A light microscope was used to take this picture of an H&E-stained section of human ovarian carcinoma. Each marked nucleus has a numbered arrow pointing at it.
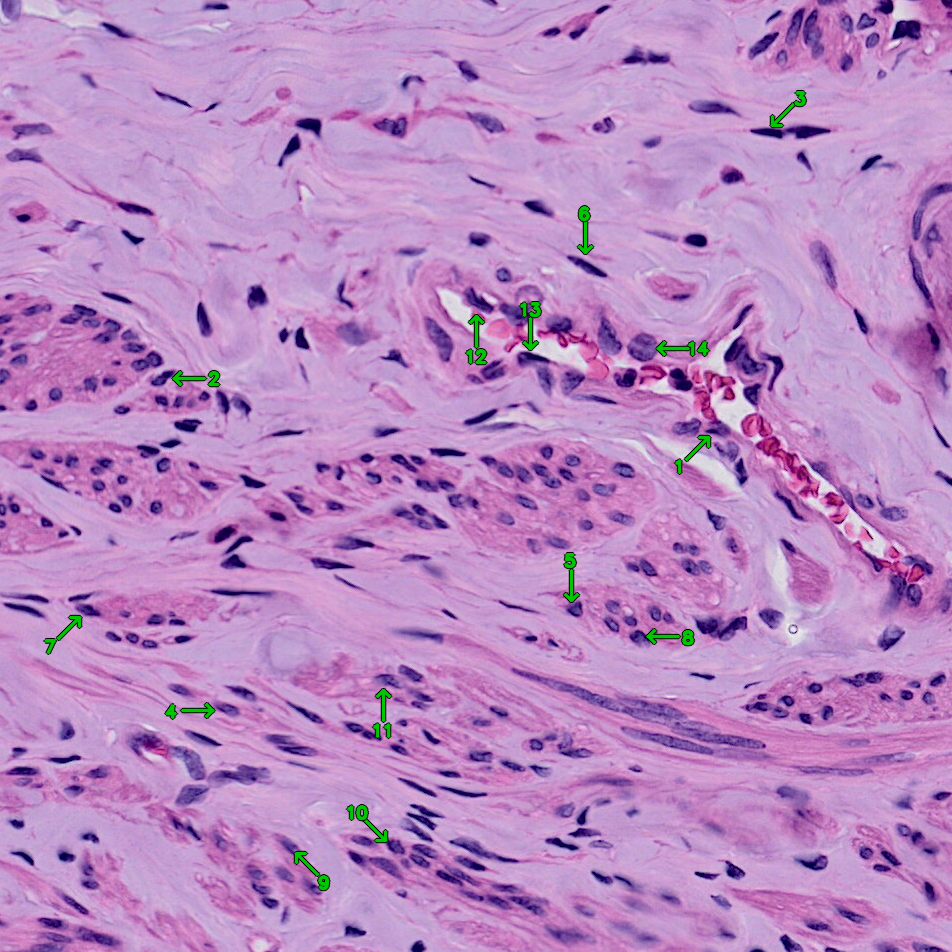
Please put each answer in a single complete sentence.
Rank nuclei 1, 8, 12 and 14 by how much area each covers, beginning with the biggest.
By area, largest first, they run 14, 12, 1, 8.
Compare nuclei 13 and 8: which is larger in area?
Number 13 is larger; its area is about 1.5 times that of number 8.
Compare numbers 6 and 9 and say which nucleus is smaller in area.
Nucleus 9 covers less area, with nucleus 6 about 1.5 times as large.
